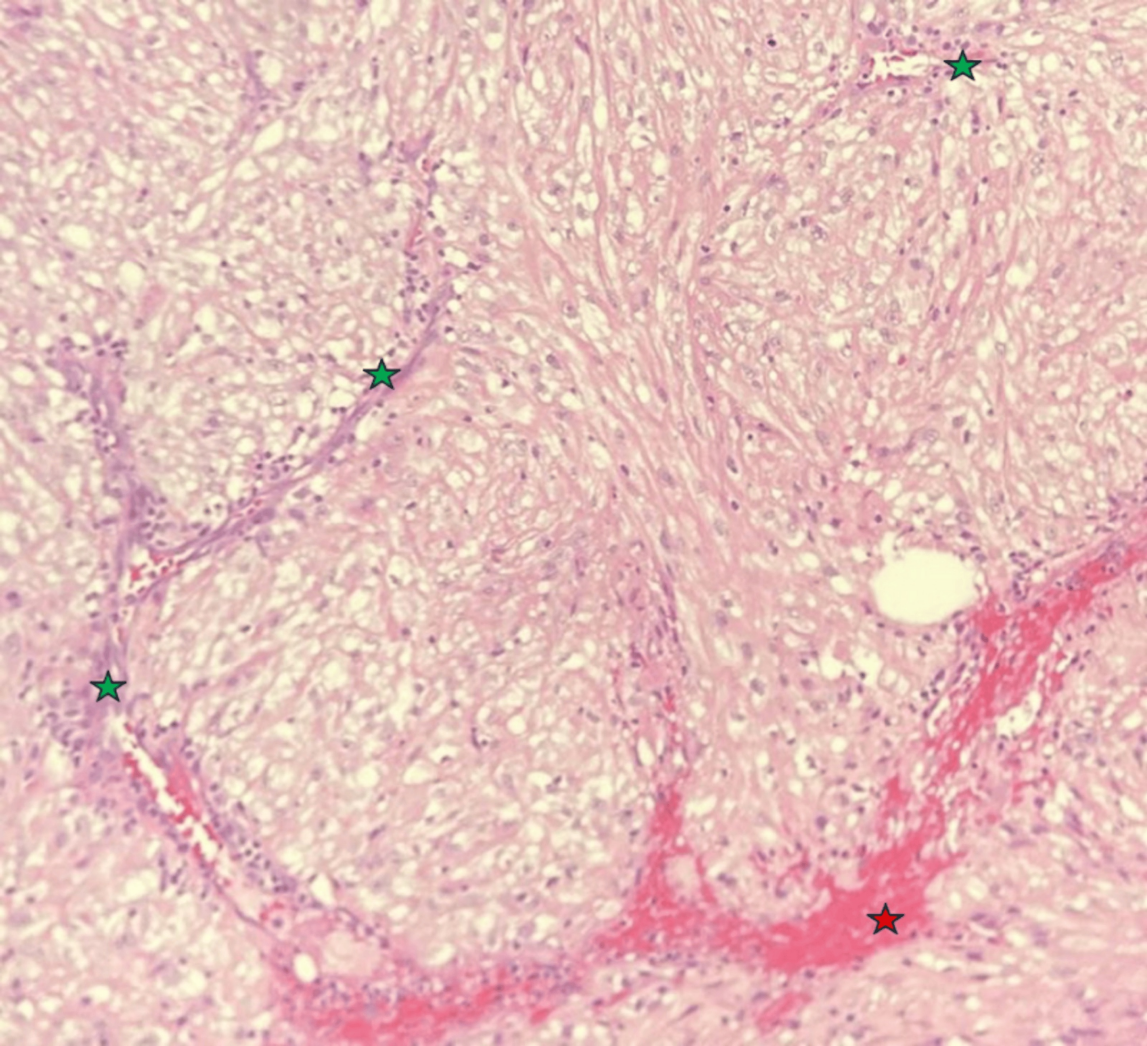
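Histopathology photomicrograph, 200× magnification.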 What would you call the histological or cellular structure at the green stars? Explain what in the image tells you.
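The green stars lie on narrow channels that run between groups of pale cells. Some of these channels contain red blood cells.
Conclusion: thin-walled blood vessels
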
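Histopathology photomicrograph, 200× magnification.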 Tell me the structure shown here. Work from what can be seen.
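Most cells have pale, empty-looking, vacuolated cytoplasm. The cells have small dark nuclei. Thin strands with vessels divide the cells into groups. The answer: Nests of cells with clear cytoplasm.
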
